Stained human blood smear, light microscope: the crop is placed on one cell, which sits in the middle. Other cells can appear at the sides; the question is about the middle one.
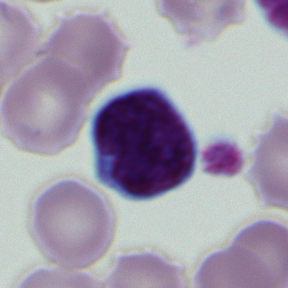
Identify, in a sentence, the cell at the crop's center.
In the middle of this smear crop, the cell is a typical lymphocyte.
